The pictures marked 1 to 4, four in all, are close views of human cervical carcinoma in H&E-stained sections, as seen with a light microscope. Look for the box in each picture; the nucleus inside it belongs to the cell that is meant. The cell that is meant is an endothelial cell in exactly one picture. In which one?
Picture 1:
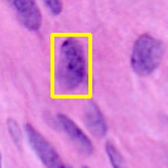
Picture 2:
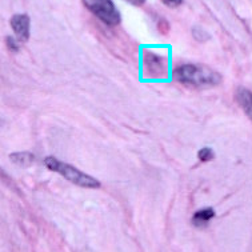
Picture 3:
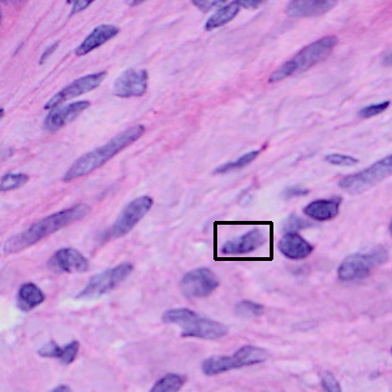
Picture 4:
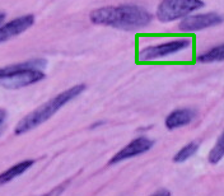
2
